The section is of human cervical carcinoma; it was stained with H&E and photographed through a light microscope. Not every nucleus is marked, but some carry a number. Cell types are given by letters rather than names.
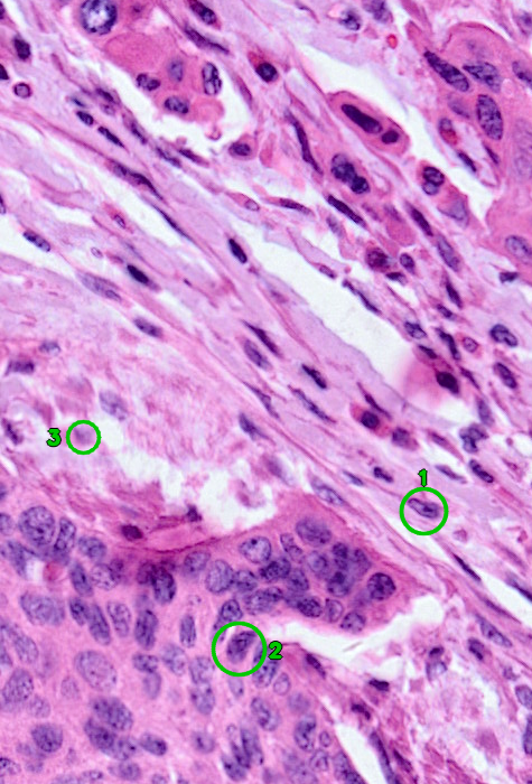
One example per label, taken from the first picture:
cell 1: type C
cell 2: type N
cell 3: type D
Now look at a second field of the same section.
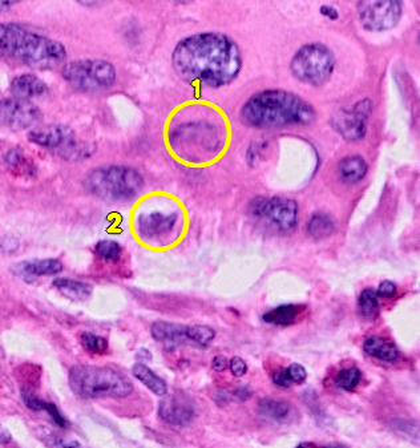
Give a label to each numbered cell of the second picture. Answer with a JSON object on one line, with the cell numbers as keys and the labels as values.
{"1": "type N", "2": "type C"}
